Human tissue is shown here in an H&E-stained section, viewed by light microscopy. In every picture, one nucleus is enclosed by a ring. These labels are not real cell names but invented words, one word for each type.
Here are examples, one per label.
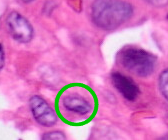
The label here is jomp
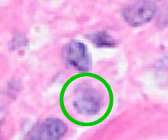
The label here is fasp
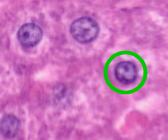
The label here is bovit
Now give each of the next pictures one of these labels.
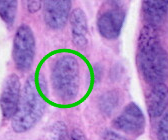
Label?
fasp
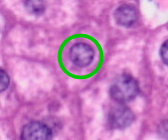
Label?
bovit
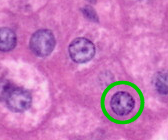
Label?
bovit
